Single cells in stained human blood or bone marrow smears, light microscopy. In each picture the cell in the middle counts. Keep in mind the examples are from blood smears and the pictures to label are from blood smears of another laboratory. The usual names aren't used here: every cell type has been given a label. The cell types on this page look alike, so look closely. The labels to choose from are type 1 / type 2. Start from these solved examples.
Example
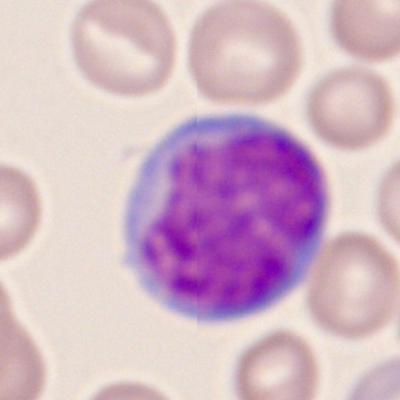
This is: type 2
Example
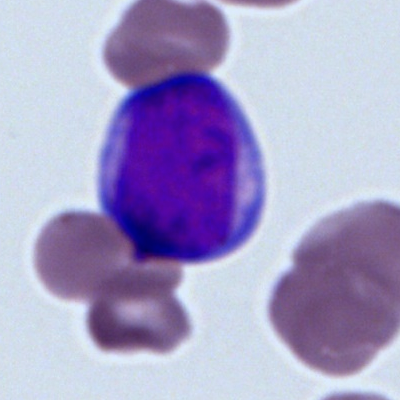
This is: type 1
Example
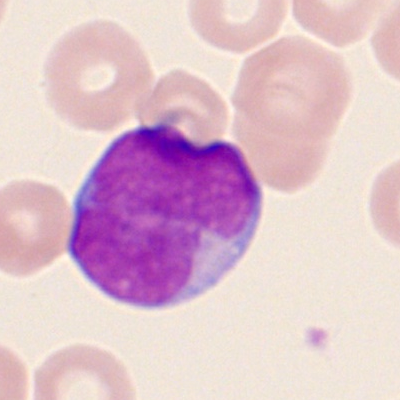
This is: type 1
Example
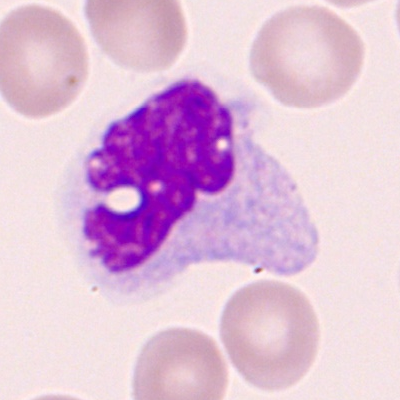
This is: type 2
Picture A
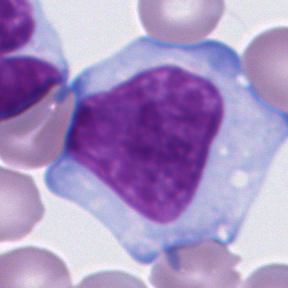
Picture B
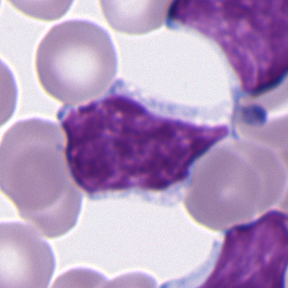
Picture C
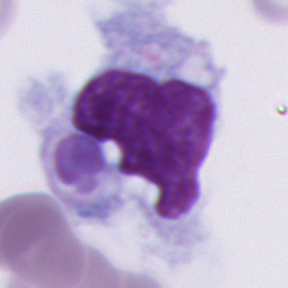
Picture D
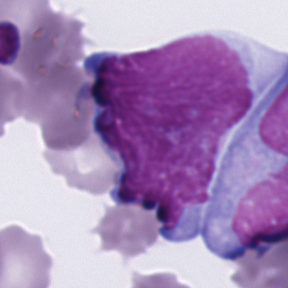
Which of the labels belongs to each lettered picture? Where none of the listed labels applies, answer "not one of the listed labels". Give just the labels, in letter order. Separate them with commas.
type 1, not one of the listed labels, type 2, type 1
